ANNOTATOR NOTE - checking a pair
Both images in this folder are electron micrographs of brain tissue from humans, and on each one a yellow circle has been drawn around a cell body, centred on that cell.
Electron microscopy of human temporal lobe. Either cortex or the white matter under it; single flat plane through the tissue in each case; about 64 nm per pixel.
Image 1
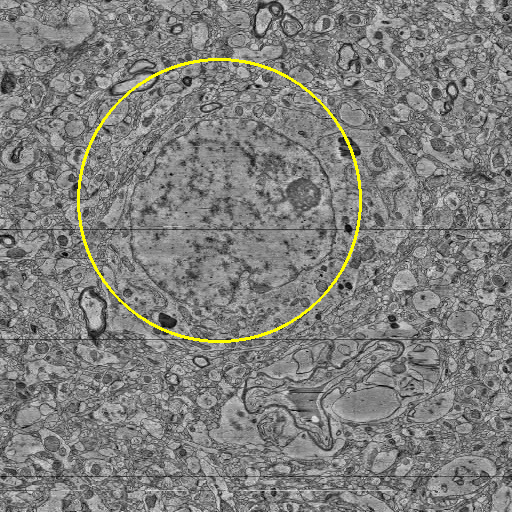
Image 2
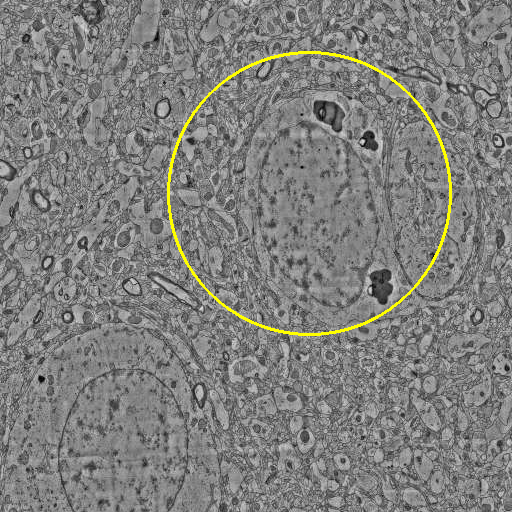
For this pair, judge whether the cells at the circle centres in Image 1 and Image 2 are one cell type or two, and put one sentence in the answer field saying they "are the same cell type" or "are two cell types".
For this pair, the cells at the circle centres in Images 1 and 2 are the same cell type.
